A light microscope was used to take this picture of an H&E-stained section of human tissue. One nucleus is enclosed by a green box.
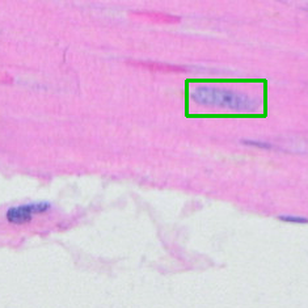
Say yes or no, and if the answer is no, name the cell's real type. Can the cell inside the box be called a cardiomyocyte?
Yes.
